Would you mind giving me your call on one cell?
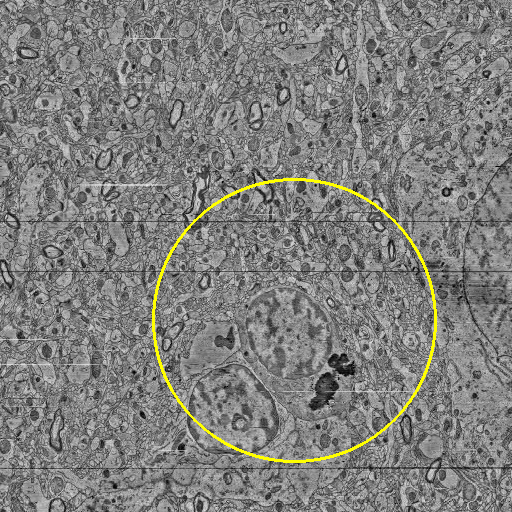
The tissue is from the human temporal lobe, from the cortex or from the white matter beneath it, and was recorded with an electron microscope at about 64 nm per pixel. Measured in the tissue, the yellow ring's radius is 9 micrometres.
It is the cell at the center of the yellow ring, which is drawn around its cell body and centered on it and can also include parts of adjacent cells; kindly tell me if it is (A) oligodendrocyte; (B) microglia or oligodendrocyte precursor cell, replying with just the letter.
A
